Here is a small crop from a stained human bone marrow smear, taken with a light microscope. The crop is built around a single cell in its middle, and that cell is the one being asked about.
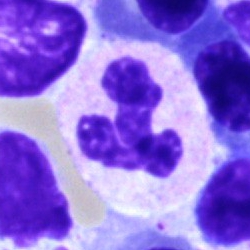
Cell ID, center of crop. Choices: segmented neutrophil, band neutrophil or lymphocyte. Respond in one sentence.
Positioned in the middle of the crop is a segmented neutrophil.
